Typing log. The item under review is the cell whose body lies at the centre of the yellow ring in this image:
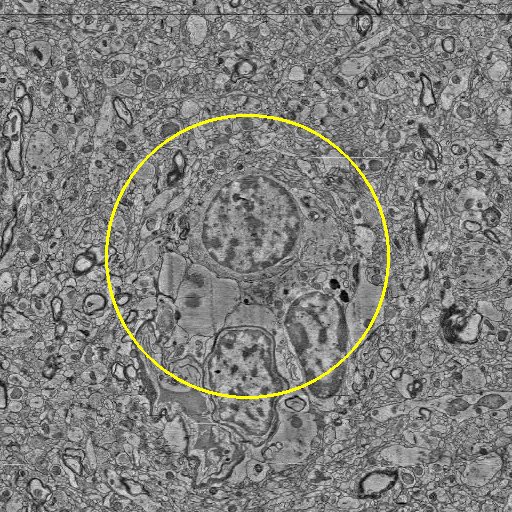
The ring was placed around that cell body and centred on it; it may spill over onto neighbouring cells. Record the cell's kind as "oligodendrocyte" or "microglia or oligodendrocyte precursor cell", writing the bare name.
oligodendrocyte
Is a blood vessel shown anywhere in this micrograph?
Yes.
